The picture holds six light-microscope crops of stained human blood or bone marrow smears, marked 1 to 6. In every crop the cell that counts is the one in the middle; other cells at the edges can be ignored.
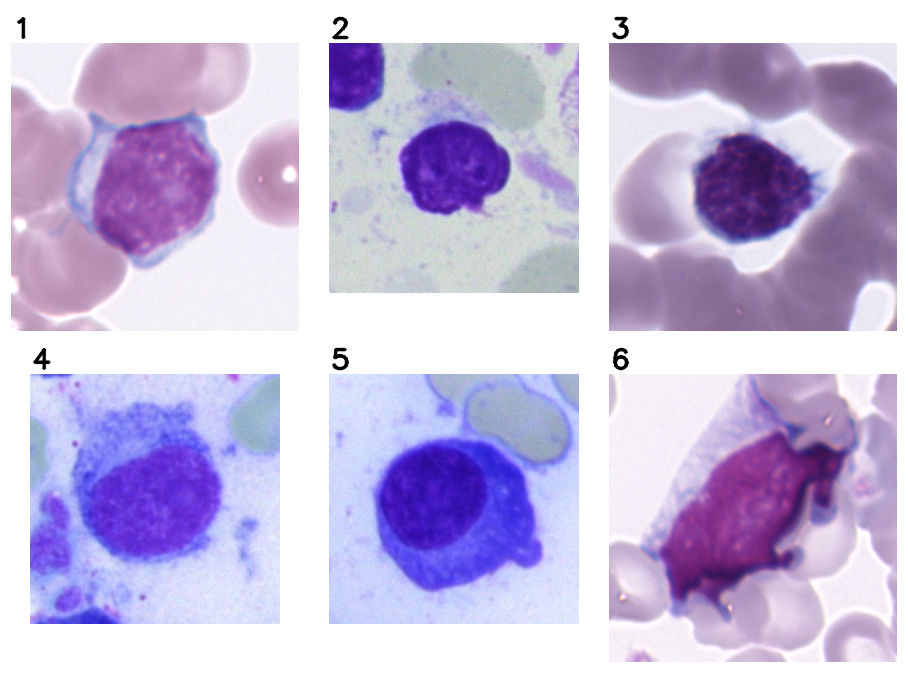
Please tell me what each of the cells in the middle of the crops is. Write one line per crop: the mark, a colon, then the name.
1: lymphocyte
2: lymphocyte
3: hairy cell
4: hairy cell
5: plasma cell
6: lymphocyte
